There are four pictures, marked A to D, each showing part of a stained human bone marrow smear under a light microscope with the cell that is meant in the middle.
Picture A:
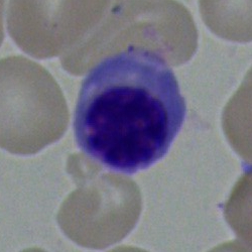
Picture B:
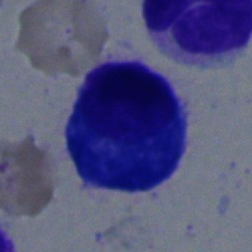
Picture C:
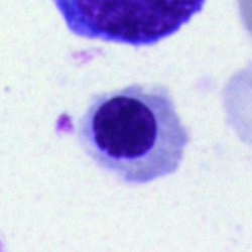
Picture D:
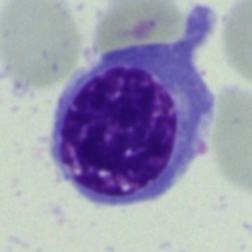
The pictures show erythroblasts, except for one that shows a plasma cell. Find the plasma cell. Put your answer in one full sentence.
It is picture B that shows the plasma cell.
